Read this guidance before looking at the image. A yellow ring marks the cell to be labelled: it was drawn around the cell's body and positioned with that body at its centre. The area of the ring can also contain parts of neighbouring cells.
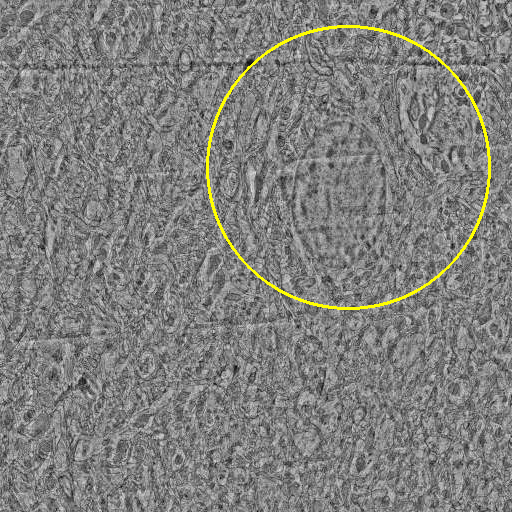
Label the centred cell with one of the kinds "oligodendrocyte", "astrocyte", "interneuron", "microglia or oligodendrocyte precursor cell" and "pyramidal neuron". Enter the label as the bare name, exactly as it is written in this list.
astrocyte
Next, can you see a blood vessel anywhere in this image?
No.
